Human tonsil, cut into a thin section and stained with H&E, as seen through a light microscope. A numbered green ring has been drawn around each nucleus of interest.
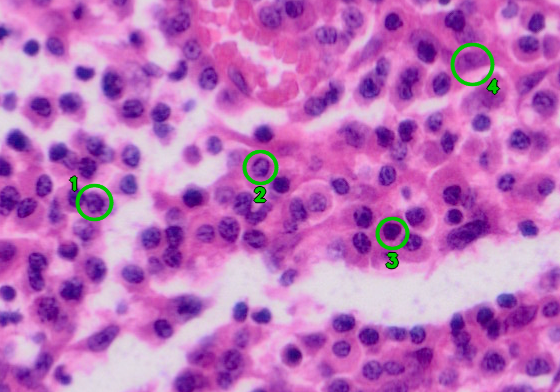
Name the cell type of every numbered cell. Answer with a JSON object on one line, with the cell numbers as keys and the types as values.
{"1": "plasma cell", "2": "plasma cell", "3": "plasma cell", "4": "squamous epithelial cell"}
